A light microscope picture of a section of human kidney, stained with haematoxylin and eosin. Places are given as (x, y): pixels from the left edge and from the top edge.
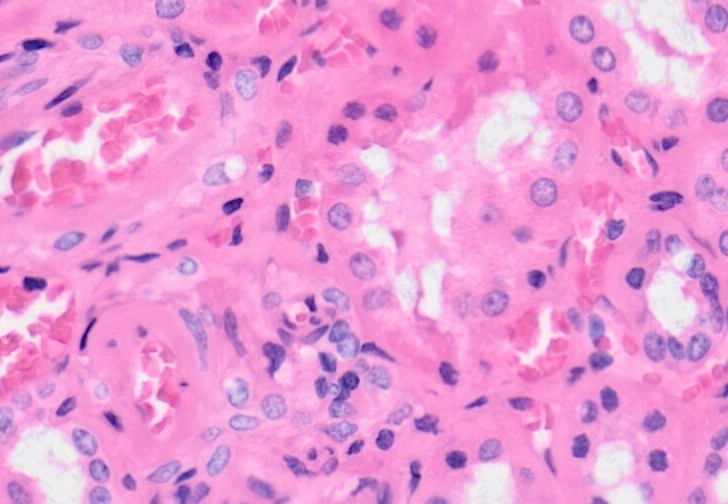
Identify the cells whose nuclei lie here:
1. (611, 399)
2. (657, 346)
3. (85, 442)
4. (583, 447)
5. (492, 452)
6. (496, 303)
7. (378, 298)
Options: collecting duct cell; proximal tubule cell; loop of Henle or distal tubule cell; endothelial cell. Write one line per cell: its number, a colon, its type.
1: loop of Henle or distal tubule cell
2: collecting duct cell
3: collecting duct cell
4: loop of Henle or distal tubule cell
5: loop of Henle or distal tubule cell
6: proximal tubule cell
7: proximal tubule cell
